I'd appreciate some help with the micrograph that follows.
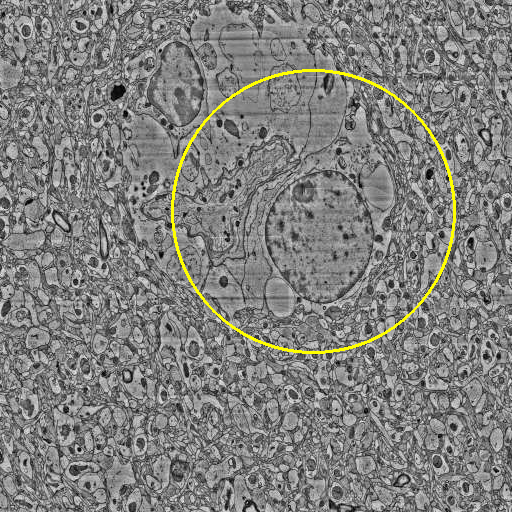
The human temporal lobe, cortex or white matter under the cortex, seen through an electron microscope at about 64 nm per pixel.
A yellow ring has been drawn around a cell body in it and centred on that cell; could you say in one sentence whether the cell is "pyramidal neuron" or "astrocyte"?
It is an astrocyte at the centre of the ring.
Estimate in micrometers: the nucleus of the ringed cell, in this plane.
Roughly 8 micrometres by 7 micrometres, in this plane.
